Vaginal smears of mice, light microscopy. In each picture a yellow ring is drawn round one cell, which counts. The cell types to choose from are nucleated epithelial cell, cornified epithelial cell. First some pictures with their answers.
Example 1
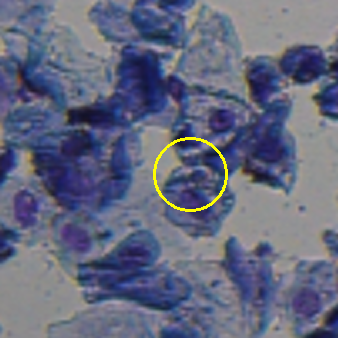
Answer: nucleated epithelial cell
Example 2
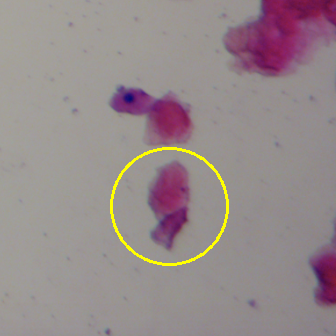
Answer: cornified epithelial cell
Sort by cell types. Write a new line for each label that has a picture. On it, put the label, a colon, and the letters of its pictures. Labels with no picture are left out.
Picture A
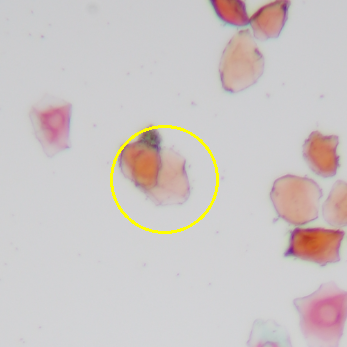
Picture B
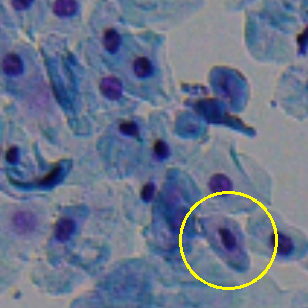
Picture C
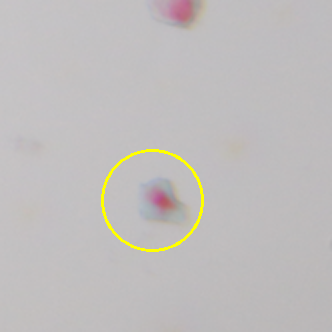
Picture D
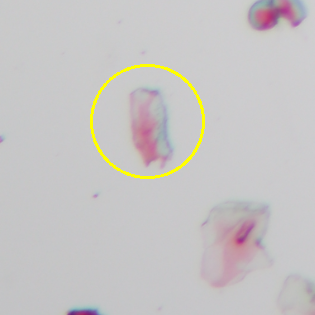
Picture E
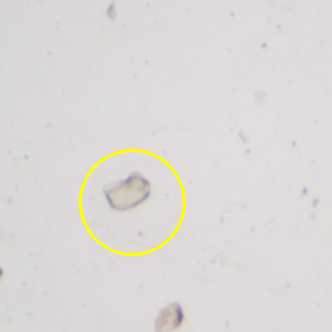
nucleated epithelial cell: B, C
cornified epithelial cell: A, D, E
